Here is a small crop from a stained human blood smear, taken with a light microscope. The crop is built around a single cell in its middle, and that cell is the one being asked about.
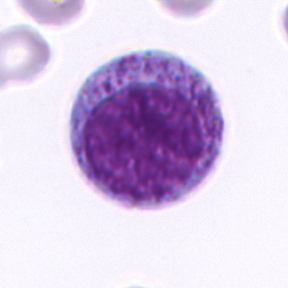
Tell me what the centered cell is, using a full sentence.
Classified as a myelocyte is the cell in the middle of this crop.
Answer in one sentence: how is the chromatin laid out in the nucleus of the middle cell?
The chromatin pattern is fine and free of coarse clumps.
